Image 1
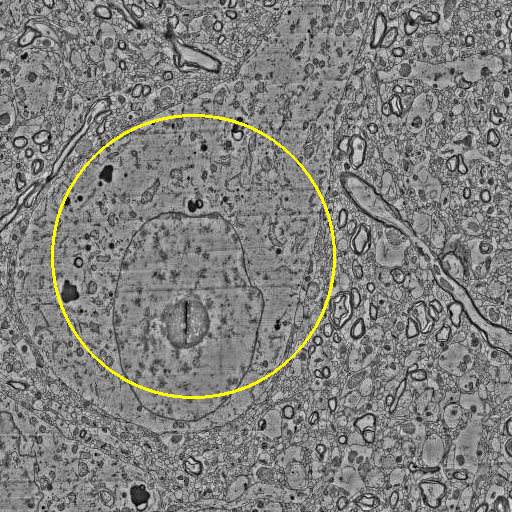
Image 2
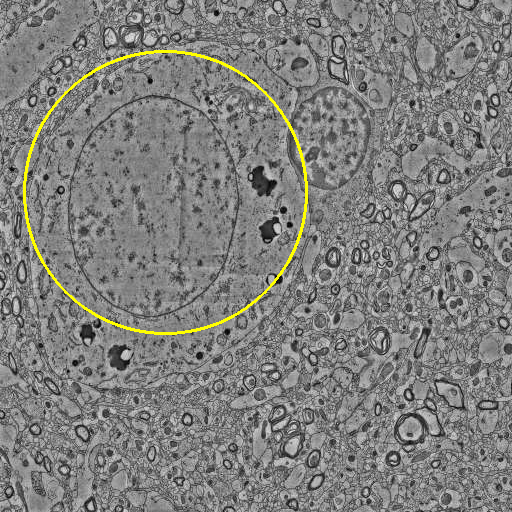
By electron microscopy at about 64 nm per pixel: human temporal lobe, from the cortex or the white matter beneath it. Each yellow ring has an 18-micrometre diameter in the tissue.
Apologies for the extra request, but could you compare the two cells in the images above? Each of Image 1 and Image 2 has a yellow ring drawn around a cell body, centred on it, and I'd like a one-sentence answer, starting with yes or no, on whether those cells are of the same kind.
Yes, both cells are of the same kind.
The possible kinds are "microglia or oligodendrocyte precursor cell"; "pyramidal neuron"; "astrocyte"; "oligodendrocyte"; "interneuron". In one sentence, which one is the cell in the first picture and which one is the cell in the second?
In each of the two pictures, the ringed cell is a pyramidal neuron.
